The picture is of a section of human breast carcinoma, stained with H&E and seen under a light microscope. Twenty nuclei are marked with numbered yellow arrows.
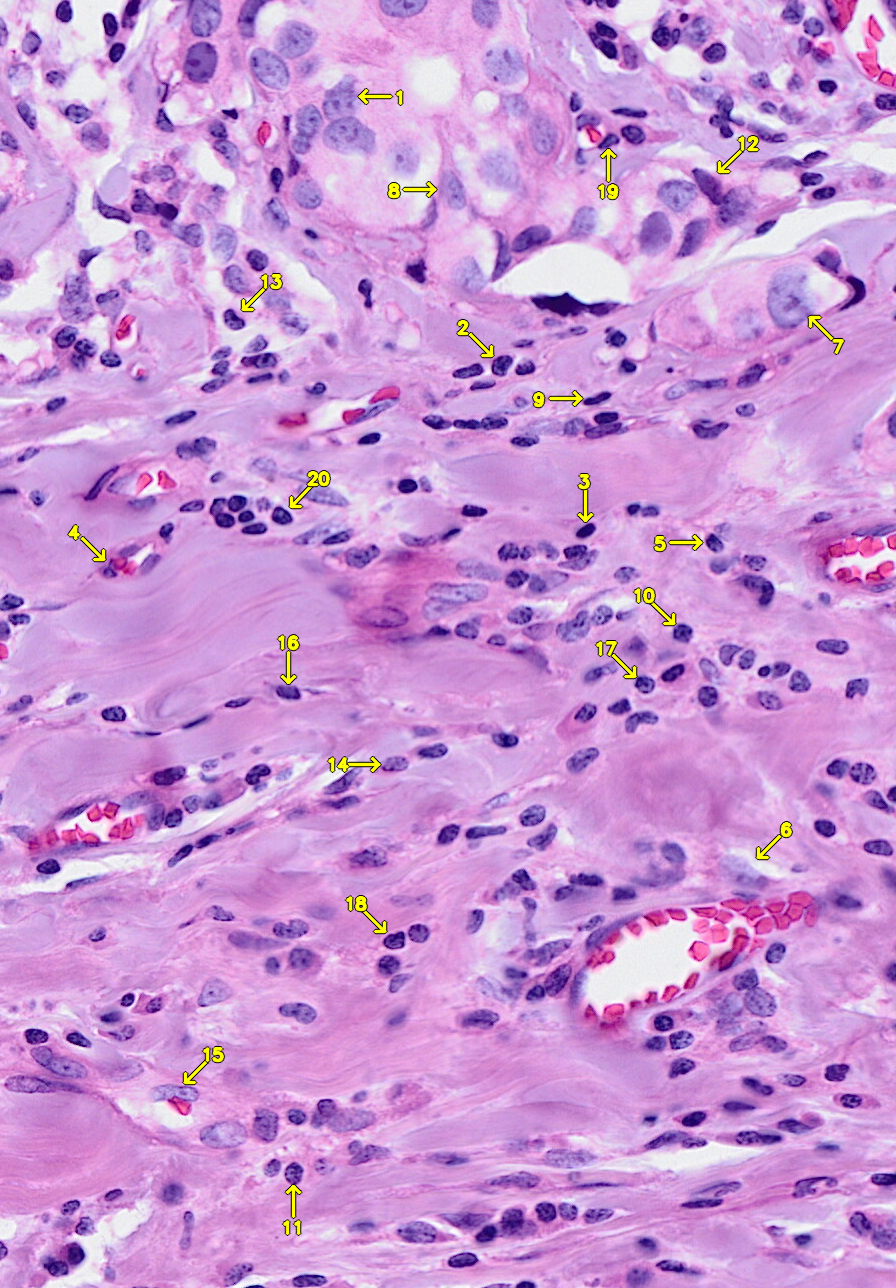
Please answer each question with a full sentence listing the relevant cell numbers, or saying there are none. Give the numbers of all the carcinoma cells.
The cells referred to by numbers 1, 7, 8 and 12 are carcinoma cells.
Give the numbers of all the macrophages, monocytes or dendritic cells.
In the set of numbered cells, macrophages, monocytes or dendritic cells are not found.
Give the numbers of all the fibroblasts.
Only one marked cell, number 6, is a fibroblast.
